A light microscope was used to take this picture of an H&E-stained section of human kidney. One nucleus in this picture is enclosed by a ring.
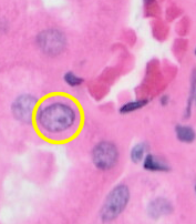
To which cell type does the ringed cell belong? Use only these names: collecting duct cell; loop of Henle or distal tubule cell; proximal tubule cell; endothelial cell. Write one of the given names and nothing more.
proximal tubule cell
